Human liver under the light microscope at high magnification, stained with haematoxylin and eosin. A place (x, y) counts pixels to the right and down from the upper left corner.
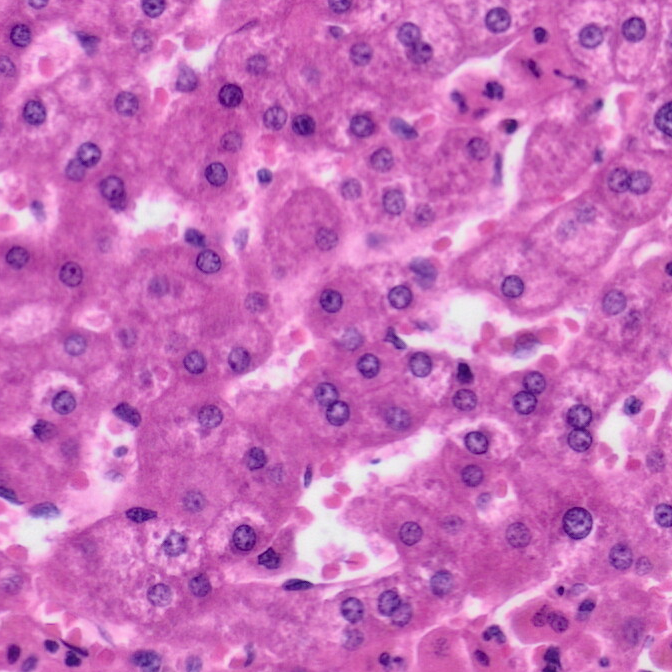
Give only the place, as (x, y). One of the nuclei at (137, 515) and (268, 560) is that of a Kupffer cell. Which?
(268, 560)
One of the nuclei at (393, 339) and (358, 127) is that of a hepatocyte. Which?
(358, 127)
